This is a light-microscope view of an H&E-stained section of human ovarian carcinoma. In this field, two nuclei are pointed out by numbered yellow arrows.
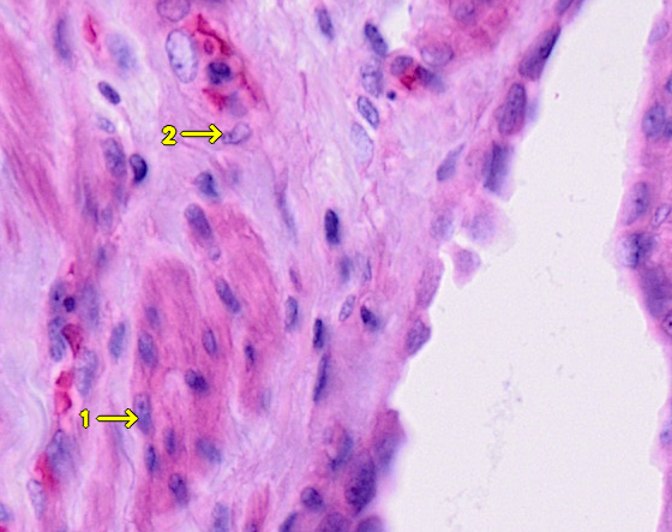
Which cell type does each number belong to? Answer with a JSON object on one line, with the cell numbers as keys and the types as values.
{"1": "smooth muscle cell", "2": "endothelial cell"}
